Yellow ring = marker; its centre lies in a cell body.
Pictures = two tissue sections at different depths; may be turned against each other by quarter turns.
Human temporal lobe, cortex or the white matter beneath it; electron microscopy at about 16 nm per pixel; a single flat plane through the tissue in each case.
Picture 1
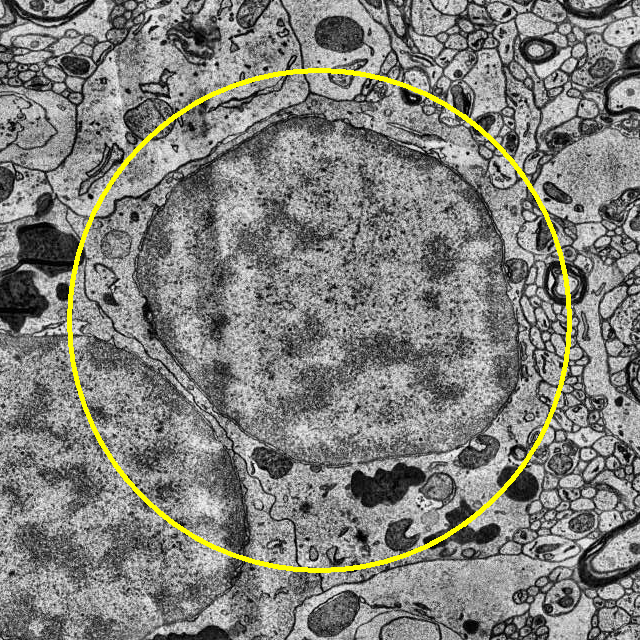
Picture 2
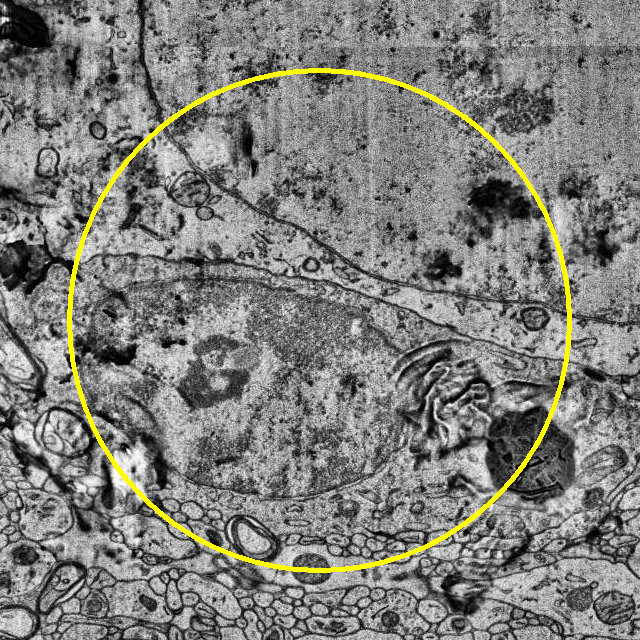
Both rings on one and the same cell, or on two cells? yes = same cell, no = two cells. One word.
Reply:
no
